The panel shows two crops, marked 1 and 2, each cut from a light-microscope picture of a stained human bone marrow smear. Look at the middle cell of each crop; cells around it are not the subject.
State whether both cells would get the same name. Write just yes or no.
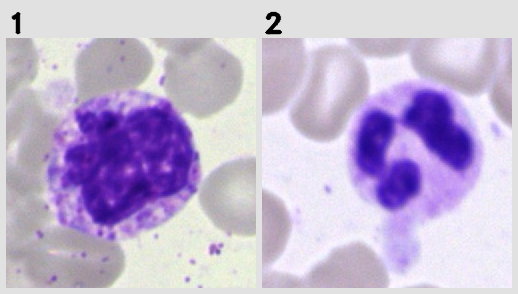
no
